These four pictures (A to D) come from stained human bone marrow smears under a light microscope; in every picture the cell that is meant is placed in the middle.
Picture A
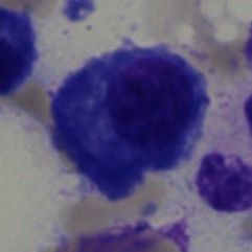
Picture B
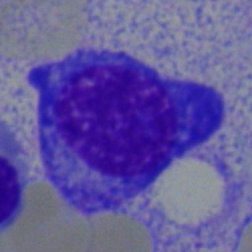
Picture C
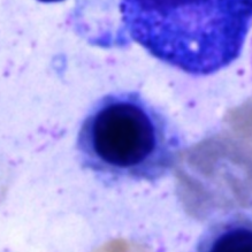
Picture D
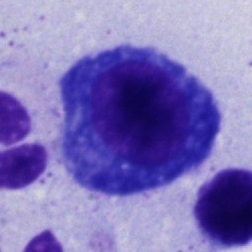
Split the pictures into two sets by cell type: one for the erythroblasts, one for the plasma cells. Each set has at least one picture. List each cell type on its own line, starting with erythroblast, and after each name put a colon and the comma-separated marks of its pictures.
erythroblast: C
plasma cell: A, B, D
